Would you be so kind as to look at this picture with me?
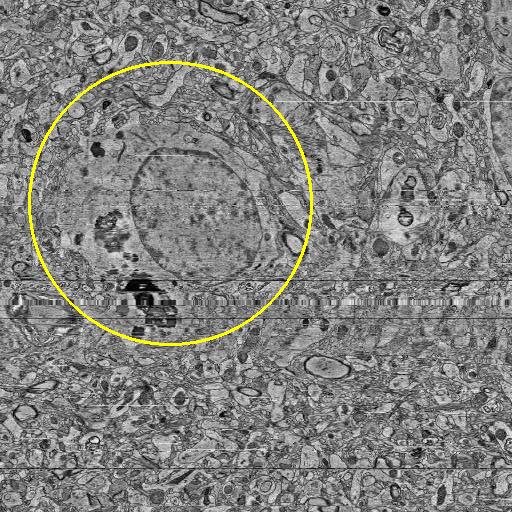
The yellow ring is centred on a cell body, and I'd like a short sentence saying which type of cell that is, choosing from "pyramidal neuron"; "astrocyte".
The cell body in the ring belongs to an astrocyte.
